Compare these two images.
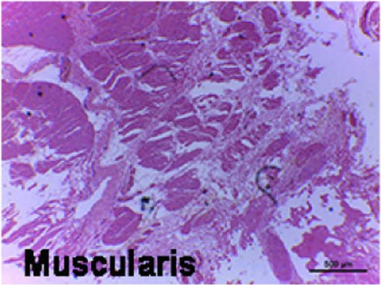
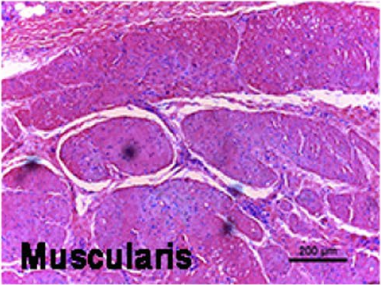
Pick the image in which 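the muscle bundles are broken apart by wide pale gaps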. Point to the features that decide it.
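Second image: compact pink muscle bundles separated only by thin clefts. First image: fragmented muscle pieces scattered among wide pale spaces.
The first image.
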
